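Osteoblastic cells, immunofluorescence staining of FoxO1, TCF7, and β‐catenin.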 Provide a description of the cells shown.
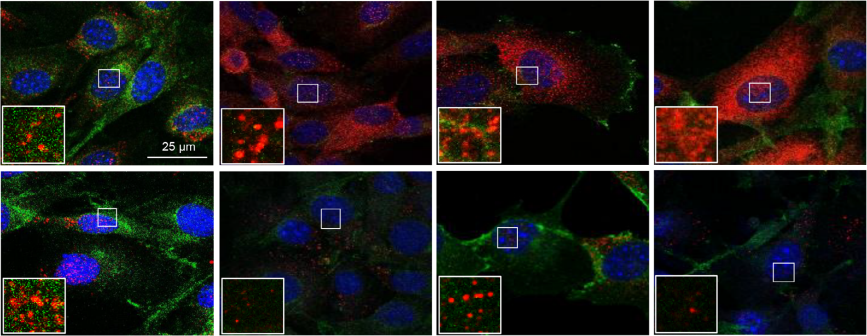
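The green signal is fine and granular through the cytoplasm and lies stronger along some cell edges and thin processes. The red signal varies from image to image: in some cells it fills the cytoplasm diffusely around the nucleus, in others it forms scattered bright puncta. The cells lie singly or in loose contact, with dark spaces between them.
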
